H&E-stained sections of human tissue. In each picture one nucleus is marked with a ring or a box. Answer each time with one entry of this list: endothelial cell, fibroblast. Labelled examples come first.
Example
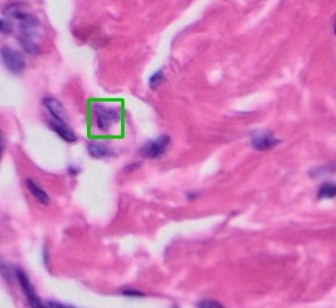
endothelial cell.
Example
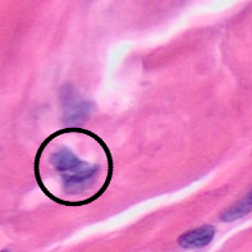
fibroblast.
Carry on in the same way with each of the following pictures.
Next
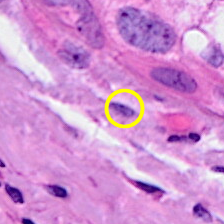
fibroblast.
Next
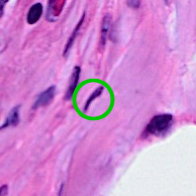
fibroblast.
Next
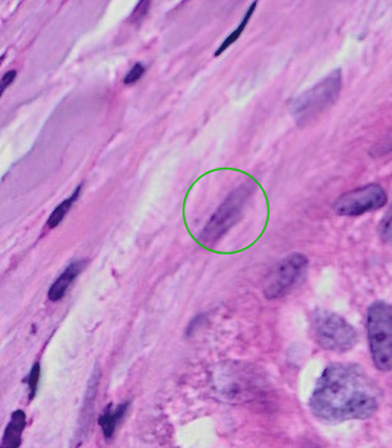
fibroblast.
